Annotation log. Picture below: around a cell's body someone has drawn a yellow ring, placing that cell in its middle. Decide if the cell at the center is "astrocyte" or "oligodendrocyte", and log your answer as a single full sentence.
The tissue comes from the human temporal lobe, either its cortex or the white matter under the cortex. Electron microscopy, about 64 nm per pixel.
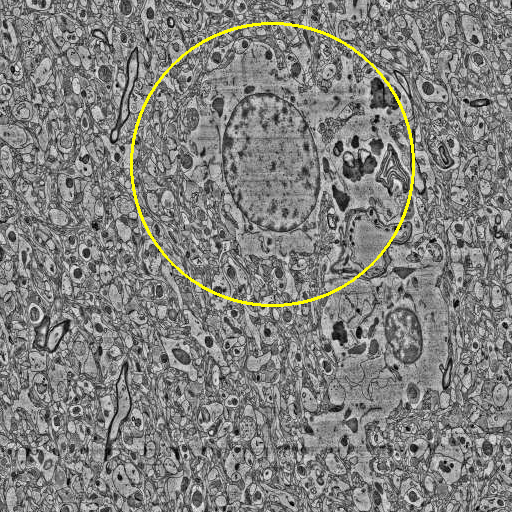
My entry records an astrocyte as the cell sitting at the center of the yellow ring.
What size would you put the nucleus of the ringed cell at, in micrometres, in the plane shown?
In this plane, approximately 9 by 6 micrometers.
